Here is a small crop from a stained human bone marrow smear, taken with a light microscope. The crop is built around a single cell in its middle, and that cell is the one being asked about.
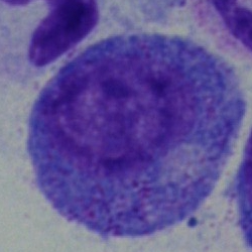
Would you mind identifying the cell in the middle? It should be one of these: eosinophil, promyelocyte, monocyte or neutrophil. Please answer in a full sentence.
Located at the centre of the crop is a promyelocyte.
